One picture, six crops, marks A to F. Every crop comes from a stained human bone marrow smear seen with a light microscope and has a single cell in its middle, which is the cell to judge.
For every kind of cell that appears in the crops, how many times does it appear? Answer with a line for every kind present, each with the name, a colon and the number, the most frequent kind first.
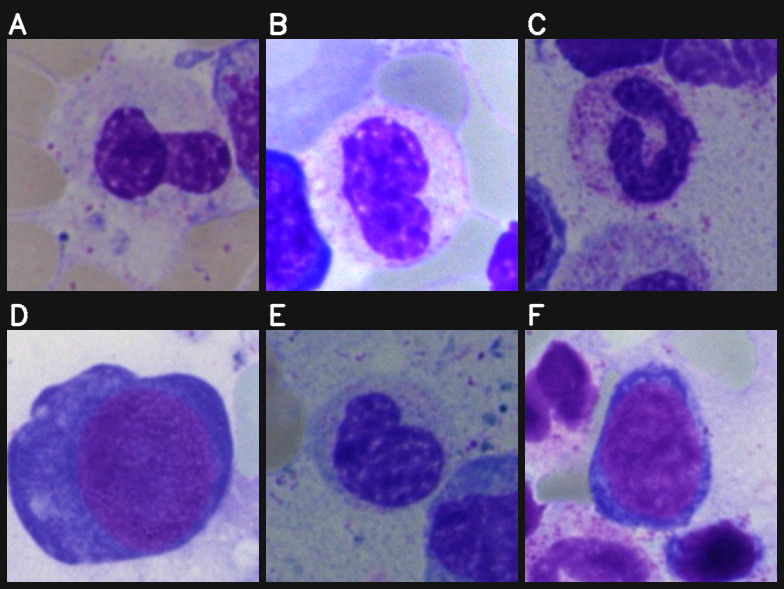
band neutrophil: 3
proerythroblast: 2
segmented neutrophil: 1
